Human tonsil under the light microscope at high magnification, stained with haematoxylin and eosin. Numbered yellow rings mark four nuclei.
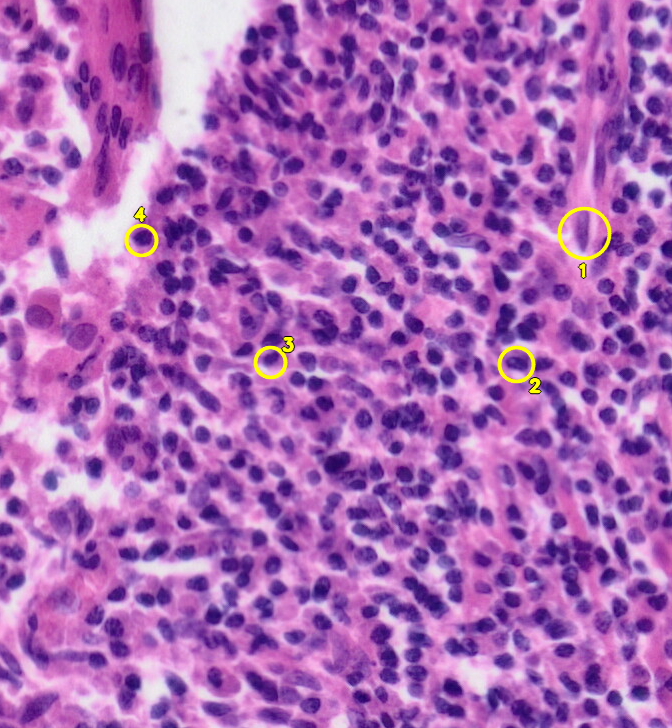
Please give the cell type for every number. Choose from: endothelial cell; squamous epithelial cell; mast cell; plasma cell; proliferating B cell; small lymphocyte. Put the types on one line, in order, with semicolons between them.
endothelial cell; plasma cell; plasma cell; plasma cell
